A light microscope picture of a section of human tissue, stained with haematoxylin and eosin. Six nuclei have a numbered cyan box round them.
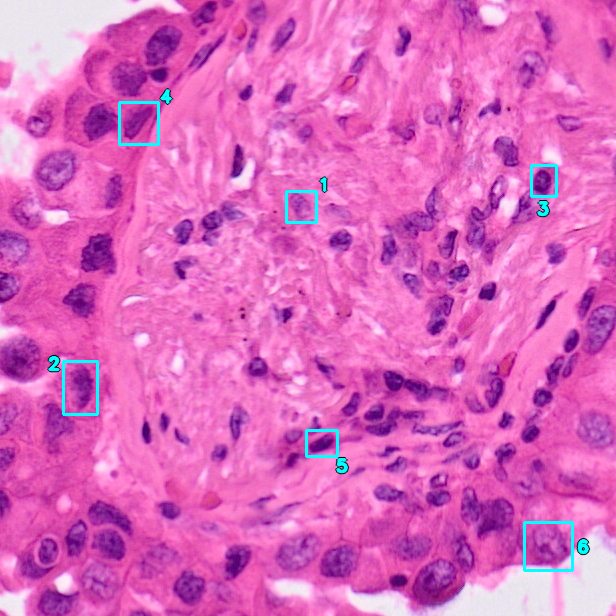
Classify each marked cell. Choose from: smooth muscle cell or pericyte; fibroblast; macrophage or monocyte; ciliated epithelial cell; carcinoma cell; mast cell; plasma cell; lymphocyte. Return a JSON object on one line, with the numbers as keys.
{"1": "macrophage or monocyte", "2": "carcinoma cell", "3": "plasma cell", "4": "carcinoma cell", "5": "plasma cell", "6": "carcinoma cell"}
